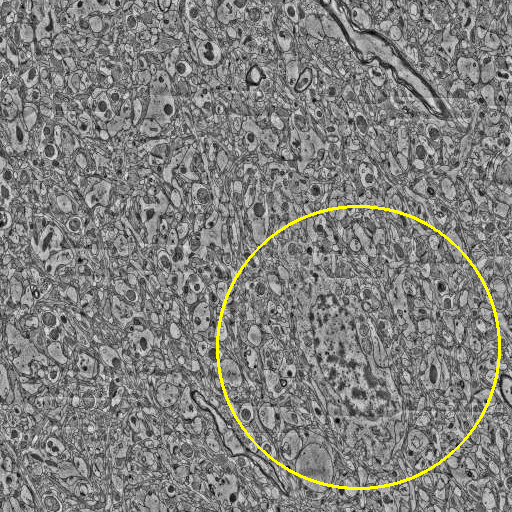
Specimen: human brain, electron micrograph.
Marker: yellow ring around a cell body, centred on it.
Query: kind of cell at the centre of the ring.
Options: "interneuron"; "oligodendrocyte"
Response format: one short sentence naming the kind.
This cell body belongs to an interneuron.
